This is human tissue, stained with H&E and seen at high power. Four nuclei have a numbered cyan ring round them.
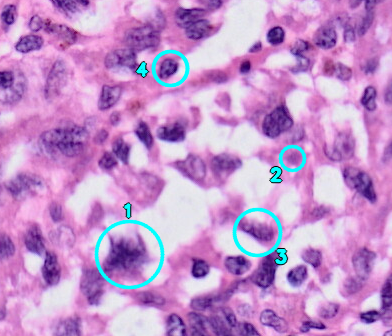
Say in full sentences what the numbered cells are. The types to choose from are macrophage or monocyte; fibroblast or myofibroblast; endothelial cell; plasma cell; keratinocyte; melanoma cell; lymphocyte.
Cell 1 is a melanoma cell, cell 2 is a melanoma cell, cell 3 is a melanoma cell and cell 4 is a lymphocyte.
